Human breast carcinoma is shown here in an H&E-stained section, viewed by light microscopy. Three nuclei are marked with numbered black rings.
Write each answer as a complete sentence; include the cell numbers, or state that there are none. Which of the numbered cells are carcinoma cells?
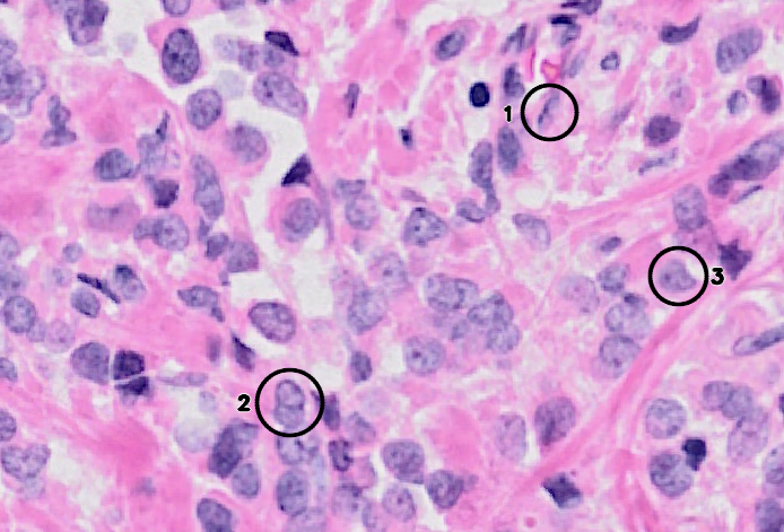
The cells with numbers 2 and 3 are carcinoma cells by type.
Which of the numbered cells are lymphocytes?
The numbered cells are all of types other than lymphocytes.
